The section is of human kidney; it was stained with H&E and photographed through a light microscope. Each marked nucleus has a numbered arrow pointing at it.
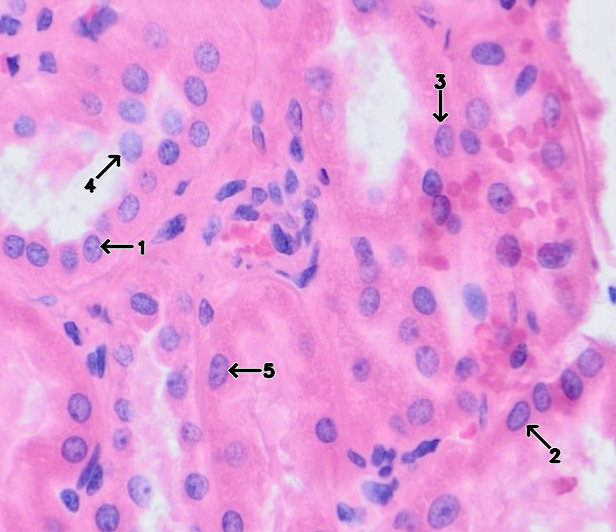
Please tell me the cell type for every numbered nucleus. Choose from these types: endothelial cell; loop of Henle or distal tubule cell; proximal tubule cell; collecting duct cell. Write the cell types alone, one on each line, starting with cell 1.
loop of Henle or distal tubule cell
proximal tubule cell
proximal tubule cell
loop of Henle or distal tubule cell
proximal tubule cell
